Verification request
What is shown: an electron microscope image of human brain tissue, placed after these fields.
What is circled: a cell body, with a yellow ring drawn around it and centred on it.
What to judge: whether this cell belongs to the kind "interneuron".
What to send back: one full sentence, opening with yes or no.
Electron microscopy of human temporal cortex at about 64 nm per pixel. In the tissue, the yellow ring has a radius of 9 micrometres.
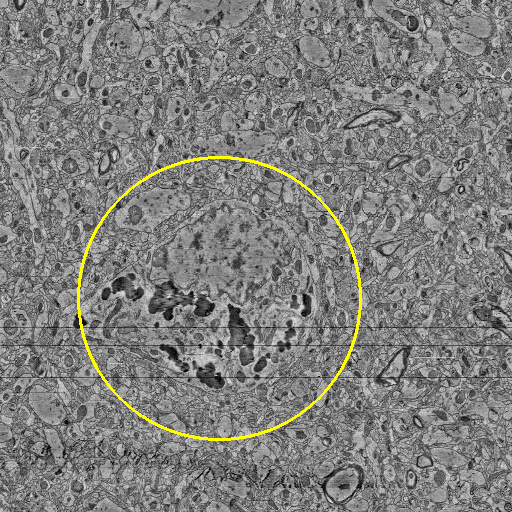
Yes, the cell on which the yellow ring is centred in the picture is of that kind.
